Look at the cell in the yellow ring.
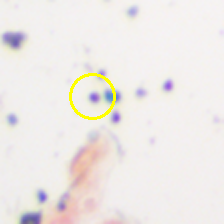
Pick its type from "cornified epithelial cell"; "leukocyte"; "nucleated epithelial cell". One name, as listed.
leukocyte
